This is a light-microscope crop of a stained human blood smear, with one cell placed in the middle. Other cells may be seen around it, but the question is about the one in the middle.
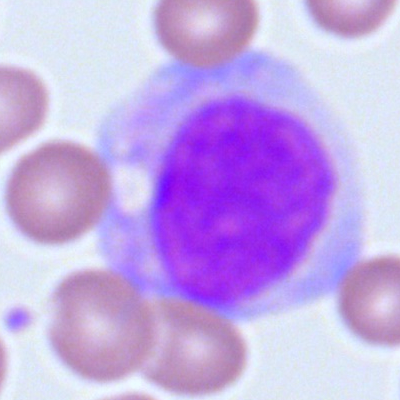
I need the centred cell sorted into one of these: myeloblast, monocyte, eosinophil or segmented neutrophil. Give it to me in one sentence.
In the center of this field lies a monocyte.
